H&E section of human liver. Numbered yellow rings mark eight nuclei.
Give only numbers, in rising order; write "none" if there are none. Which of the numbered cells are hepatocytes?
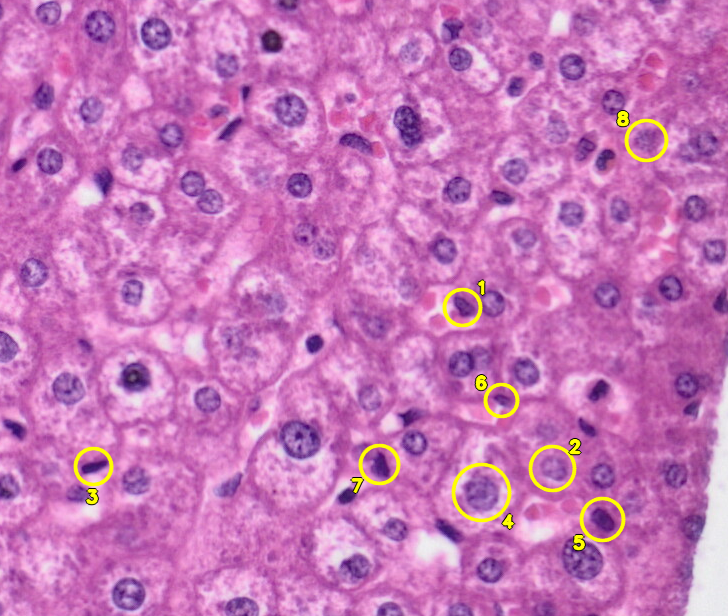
2, 4, 8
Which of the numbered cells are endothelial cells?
6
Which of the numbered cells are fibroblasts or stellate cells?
3, 5, 7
